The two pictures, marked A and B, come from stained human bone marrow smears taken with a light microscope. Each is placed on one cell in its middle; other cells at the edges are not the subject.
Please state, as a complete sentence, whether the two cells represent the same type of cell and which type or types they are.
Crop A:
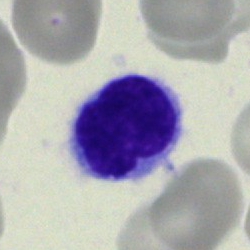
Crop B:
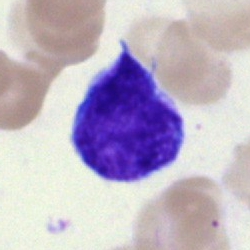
No, mark crop A as a hairy cell and crop B as a blast.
